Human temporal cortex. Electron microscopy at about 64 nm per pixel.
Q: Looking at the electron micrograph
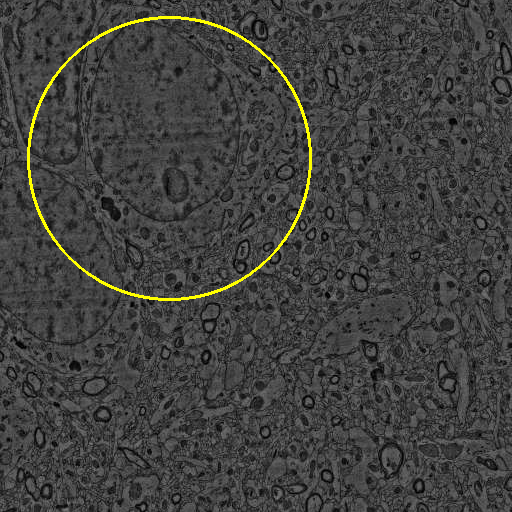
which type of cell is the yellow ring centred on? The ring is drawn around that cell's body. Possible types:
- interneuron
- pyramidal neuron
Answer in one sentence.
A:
The yellow ring is centred on a pyramidal neuron.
